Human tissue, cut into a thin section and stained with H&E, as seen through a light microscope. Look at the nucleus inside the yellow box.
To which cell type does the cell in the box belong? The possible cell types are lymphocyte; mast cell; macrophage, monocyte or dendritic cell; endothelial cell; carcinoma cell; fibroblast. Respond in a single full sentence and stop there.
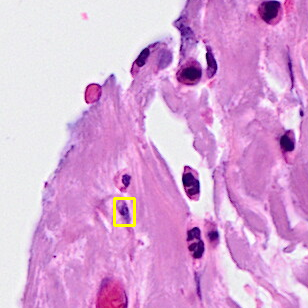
The correct response here is that the cell in the box is a fibroblast.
